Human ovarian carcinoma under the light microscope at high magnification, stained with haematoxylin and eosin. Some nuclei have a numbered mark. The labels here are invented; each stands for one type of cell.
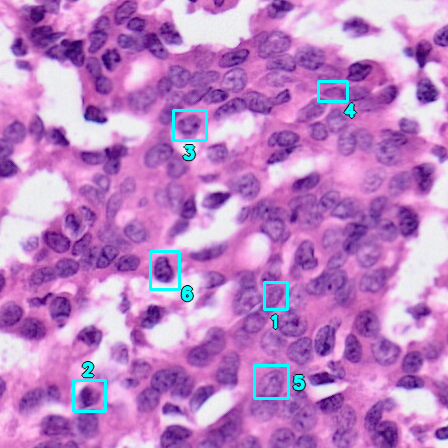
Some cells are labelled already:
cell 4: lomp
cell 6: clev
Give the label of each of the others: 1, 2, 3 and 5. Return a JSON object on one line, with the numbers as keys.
{"1": "lomp", "2": "lomp", "3": "clev", "5": "lomp"}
